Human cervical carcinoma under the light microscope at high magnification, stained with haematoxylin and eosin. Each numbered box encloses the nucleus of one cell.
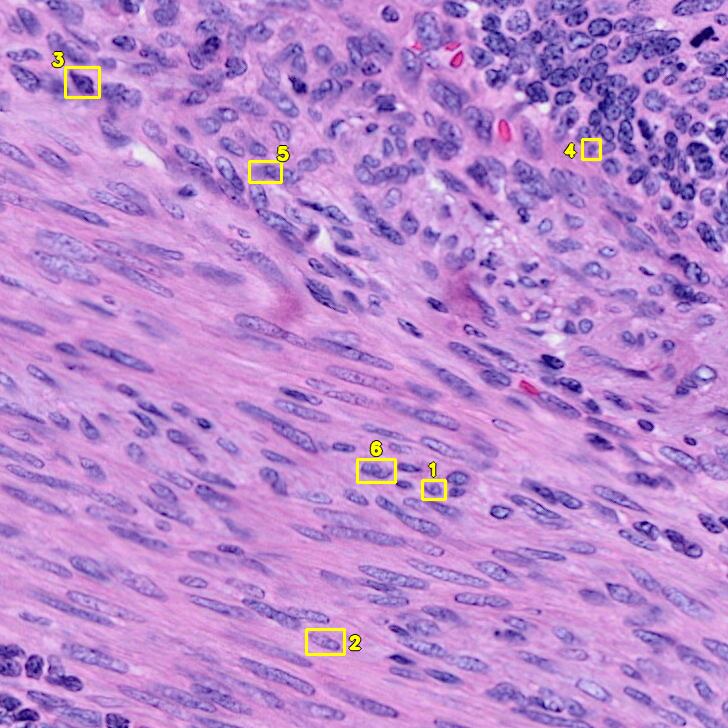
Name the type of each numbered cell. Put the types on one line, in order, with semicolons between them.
smooth muscle cell; smooth muscle cell; lymphocyte; squamous carcinoma cell; smooth muscle cell; smooth muscle cell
